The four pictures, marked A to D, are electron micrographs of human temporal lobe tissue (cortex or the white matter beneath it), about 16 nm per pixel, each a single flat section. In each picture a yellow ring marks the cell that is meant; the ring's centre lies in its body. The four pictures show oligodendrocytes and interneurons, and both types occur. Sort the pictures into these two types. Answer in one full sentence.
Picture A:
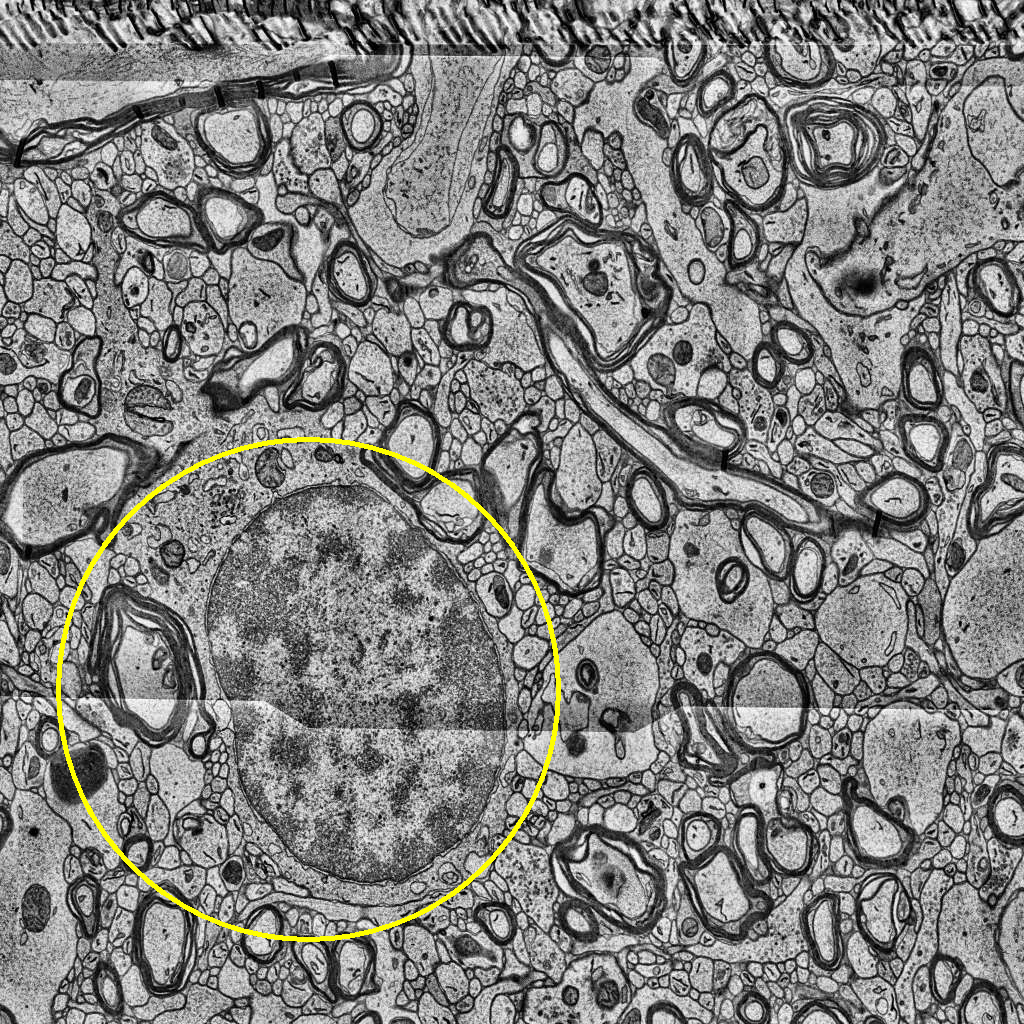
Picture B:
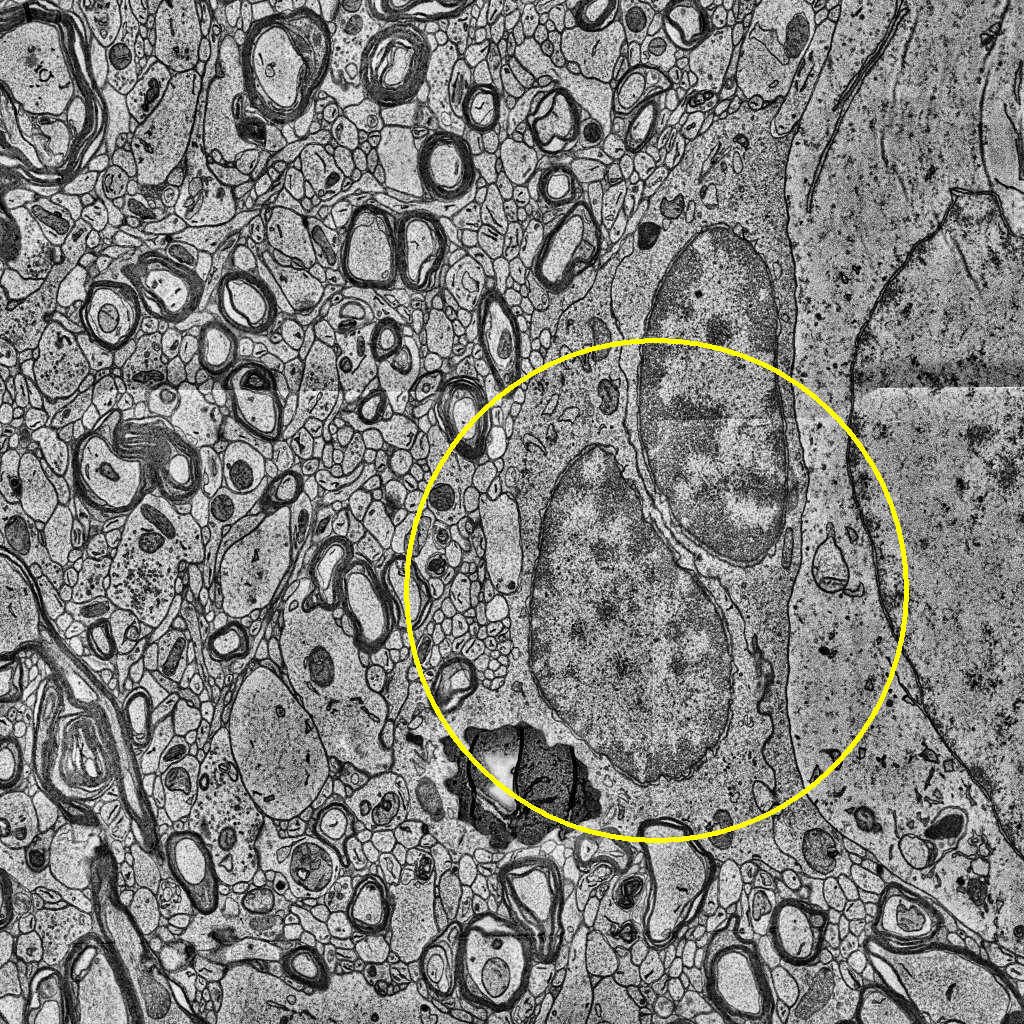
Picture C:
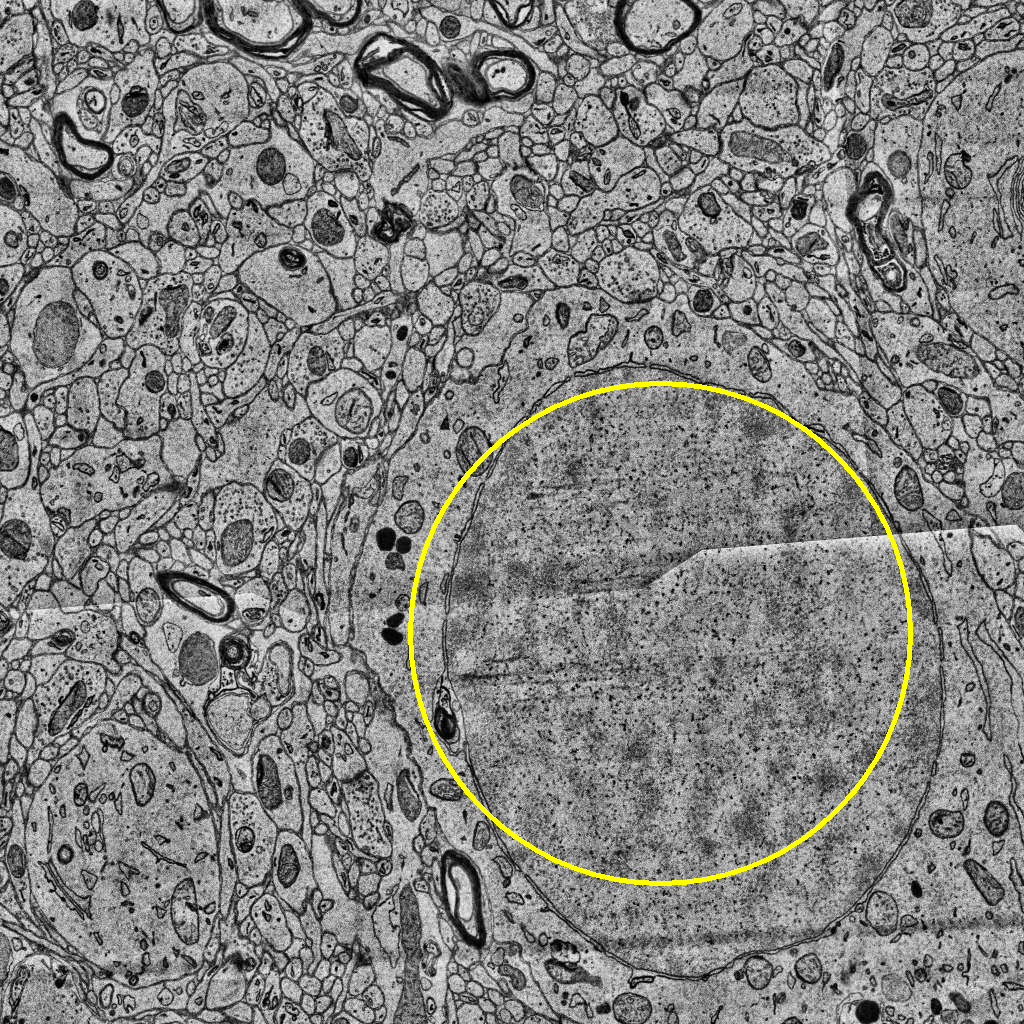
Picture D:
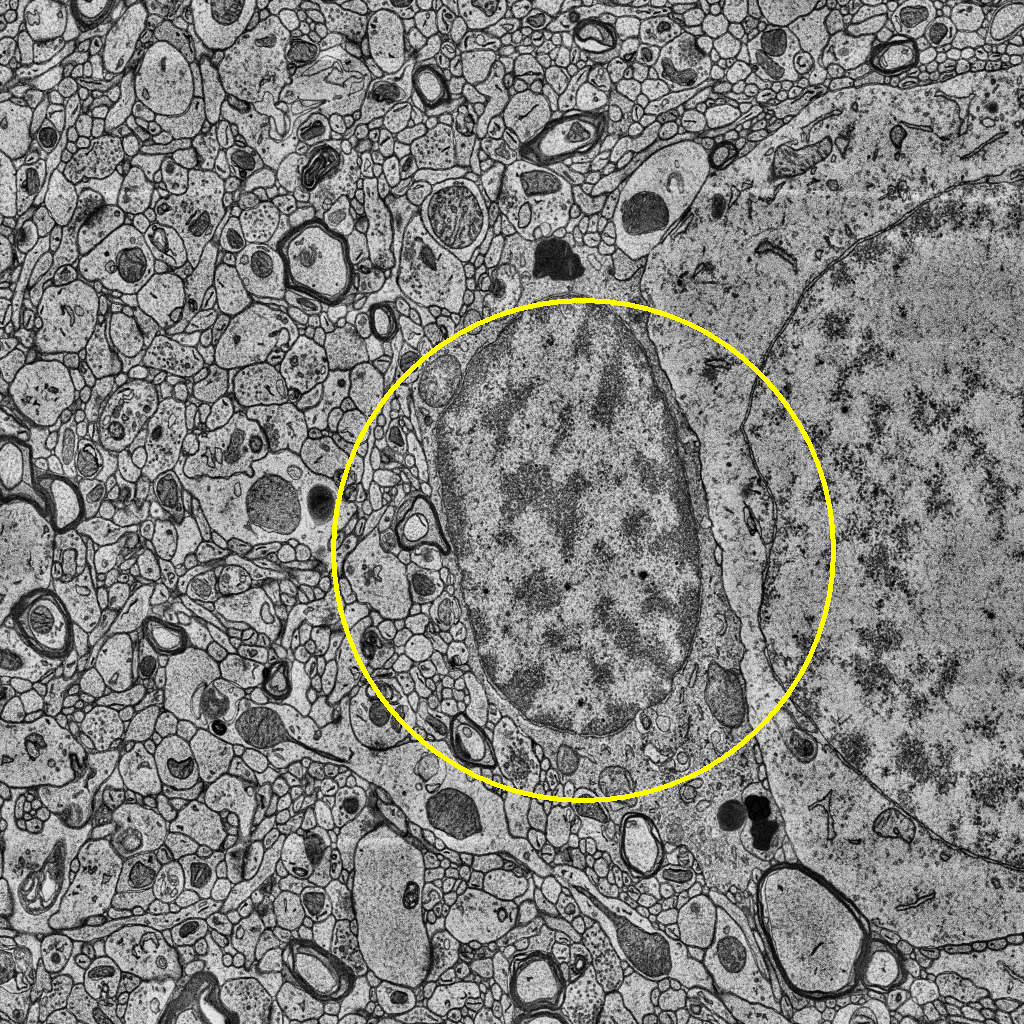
Pictures A, B and D show oligodendrocytes; picture C shows an interneuron.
